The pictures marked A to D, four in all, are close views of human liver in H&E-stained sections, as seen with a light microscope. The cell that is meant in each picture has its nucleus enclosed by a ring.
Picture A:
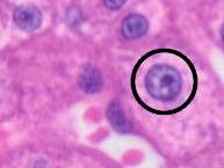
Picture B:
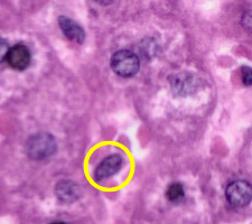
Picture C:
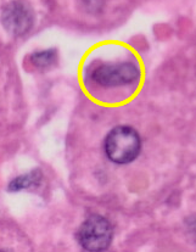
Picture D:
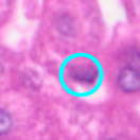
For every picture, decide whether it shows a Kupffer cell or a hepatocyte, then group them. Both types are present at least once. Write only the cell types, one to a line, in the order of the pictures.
hepatocyte
Kupffer cell
Kupffer cell
Kupffer cell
